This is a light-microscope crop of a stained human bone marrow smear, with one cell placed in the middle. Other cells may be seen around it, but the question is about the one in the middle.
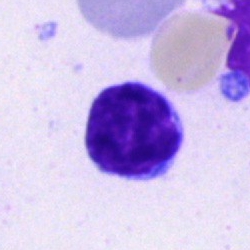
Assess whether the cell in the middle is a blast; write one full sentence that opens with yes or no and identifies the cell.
No, that would be a lymphocyte, not a blast, for the cell at the centre.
